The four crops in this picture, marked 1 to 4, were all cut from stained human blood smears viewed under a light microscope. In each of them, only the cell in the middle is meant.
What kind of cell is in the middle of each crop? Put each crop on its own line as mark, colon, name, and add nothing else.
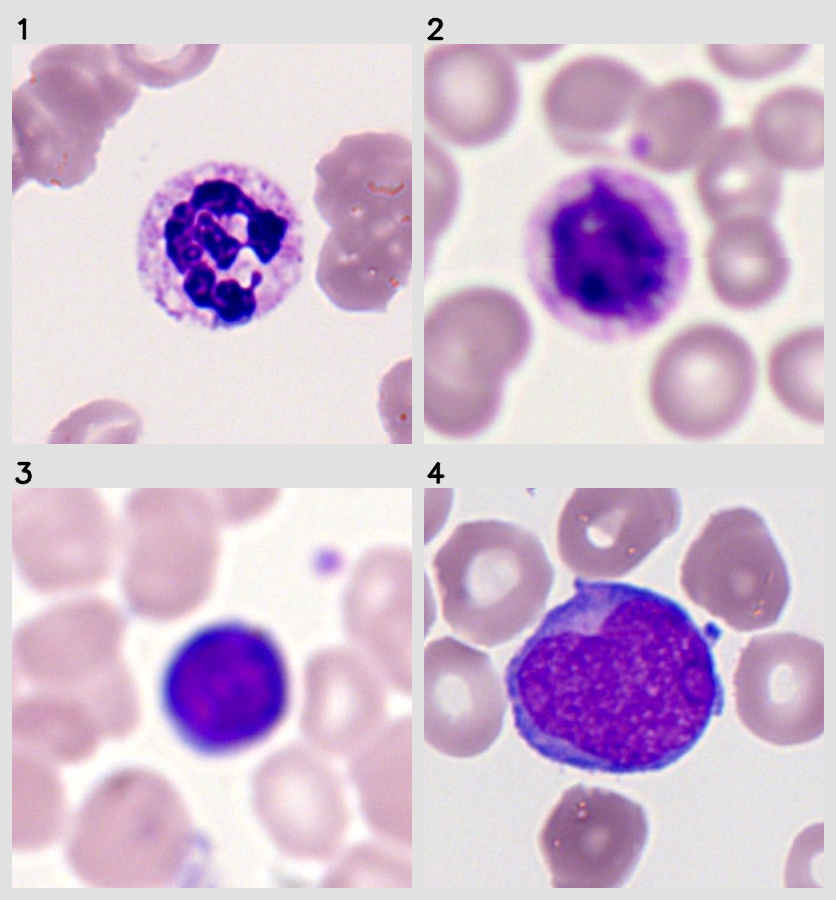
1: neutrophil
2: basophil
3: lymphocyte
4: blast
